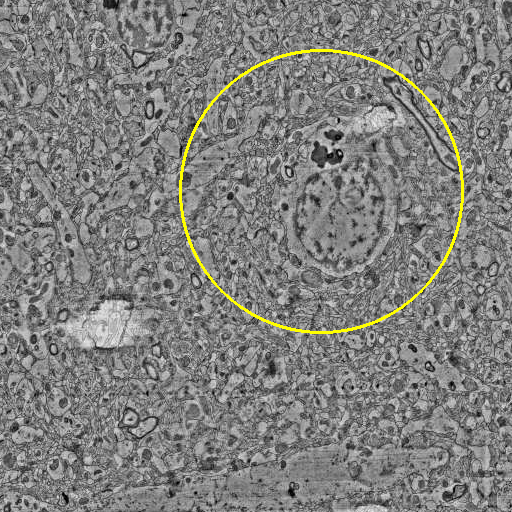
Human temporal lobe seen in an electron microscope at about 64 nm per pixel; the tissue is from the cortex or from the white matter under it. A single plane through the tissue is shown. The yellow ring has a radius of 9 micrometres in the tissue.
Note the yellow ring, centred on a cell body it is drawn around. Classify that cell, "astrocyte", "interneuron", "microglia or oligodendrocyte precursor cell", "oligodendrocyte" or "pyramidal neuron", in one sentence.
The cell the ring is centred on is an interneuron.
